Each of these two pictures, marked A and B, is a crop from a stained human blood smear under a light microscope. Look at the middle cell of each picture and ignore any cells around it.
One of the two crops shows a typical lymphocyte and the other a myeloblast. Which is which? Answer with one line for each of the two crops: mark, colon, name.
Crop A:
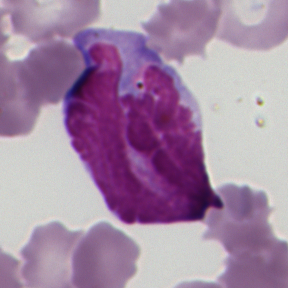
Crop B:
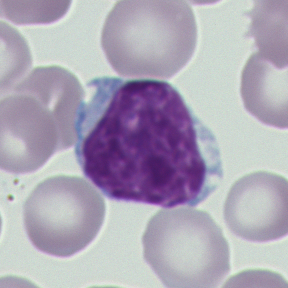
A: myeloblast
B: typical lymphocyte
